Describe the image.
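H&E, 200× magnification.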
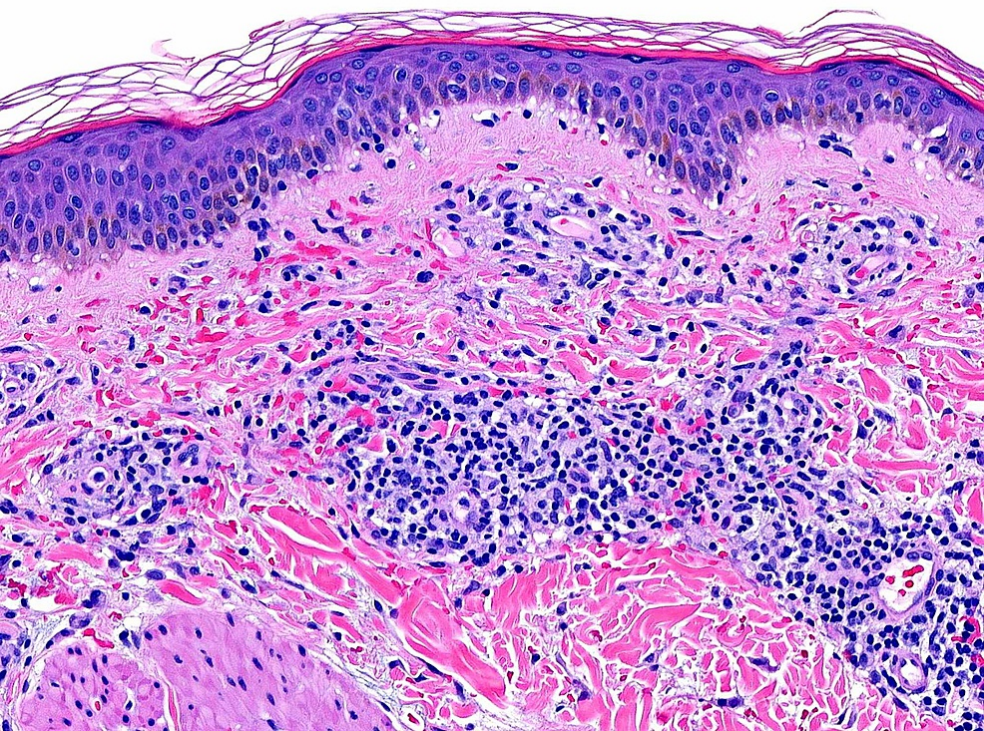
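This is skin with epidermis and superficial dermis, showing a perivascular infiltrate of lymphocytes and extravasated red blood cells. The epidermis is a stratified squamous epithelium topped by a loose basket-weave layer of keratin; the basal cells hold some brown pigment granules. In the papillary and upper reticular dermis, small round cells with dark, dense nuclei and scant cytoplasm gather around small vessels in a band-like cluster. Small bright red anucleate cells lie free in the dermis among pink collagen bundles, some close beneath the epidermis. At lower left lies a pale pink bundle with elongated nuclei, resembling smooth muscle.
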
